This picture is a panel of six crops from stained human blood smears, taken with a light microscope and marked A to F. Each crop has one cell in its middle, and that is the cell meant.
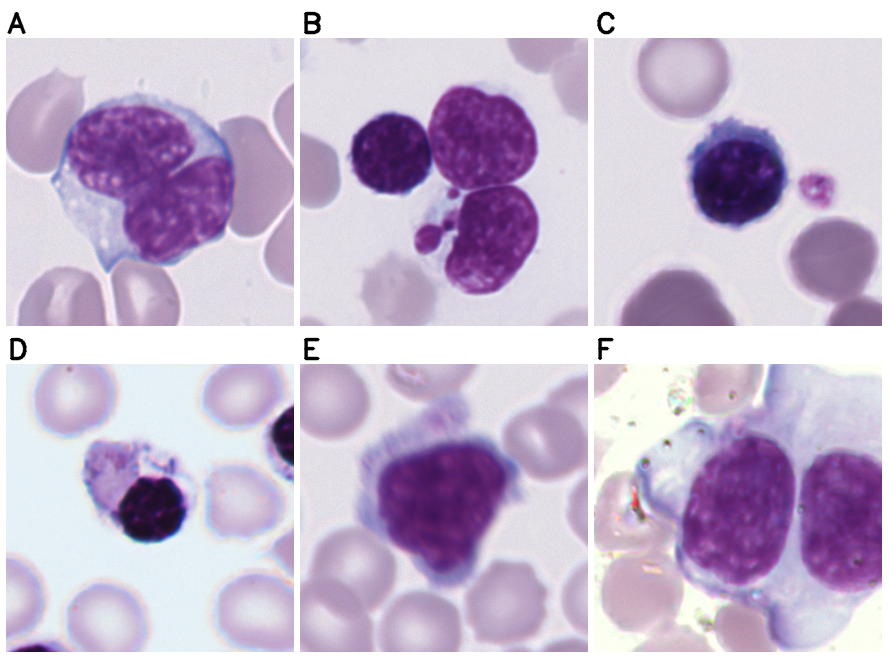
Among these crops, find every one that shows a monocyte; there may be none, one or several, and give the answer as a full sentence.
Absent from the centre of every crop is a monocyte.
